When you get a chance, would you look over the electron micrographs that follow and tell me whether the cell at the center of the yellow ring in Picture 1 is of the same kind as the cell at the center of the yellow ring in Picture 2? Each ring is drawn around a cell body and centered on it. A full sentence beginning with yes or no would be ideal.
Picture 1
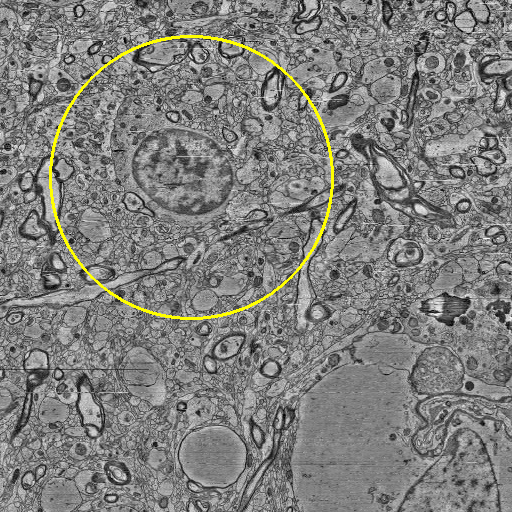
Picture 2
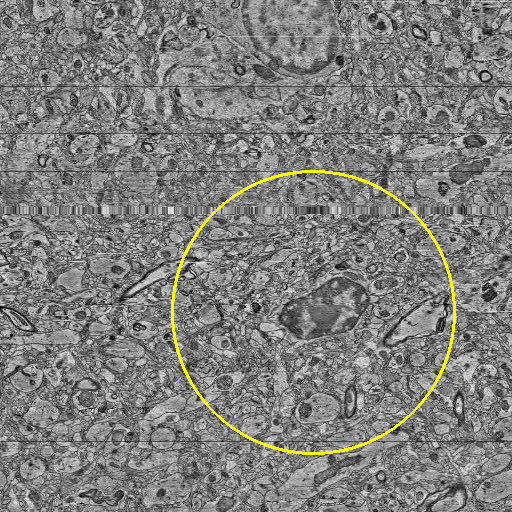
No, they are two kinds of cell.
